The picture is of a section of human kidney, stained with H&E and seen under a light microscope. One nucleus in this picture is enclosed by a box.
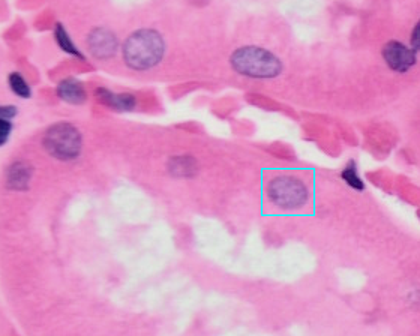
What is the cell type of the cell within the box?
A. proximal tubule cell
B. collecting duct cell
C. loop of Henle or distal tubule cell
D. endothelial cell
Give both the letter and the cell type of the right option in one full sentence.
The accurate option is A, with the cell within the box being a proximal tubule cell.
